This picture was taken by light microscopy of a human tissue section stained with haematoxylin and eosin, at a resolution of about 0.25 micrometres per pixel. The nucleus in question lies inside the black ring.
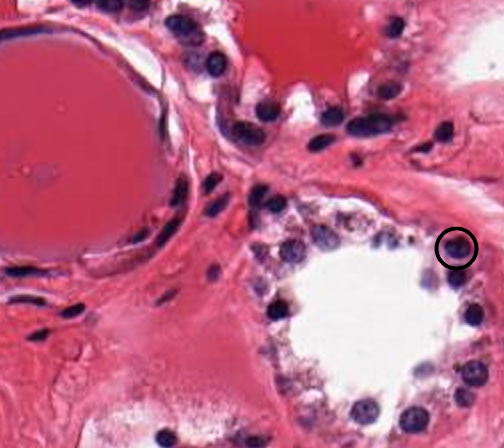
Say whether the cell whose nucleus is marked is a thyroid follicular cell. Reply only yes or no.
yes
